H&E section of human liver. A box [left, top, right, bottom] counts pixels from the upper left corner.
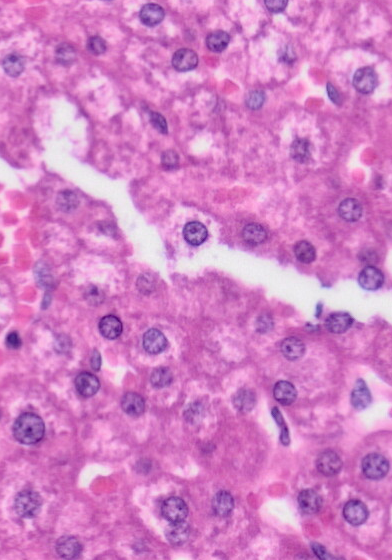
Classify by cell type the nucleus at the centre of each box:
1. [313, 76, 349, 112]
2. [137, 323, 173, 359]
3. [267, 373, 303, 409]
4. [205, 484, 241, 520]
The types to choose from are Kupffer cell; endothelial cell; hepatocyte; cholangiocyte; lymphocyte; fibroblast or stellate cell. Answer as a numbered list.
1. endothelial cell
2. hepatocyte
3. hepatocyte
4. hepatocyte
